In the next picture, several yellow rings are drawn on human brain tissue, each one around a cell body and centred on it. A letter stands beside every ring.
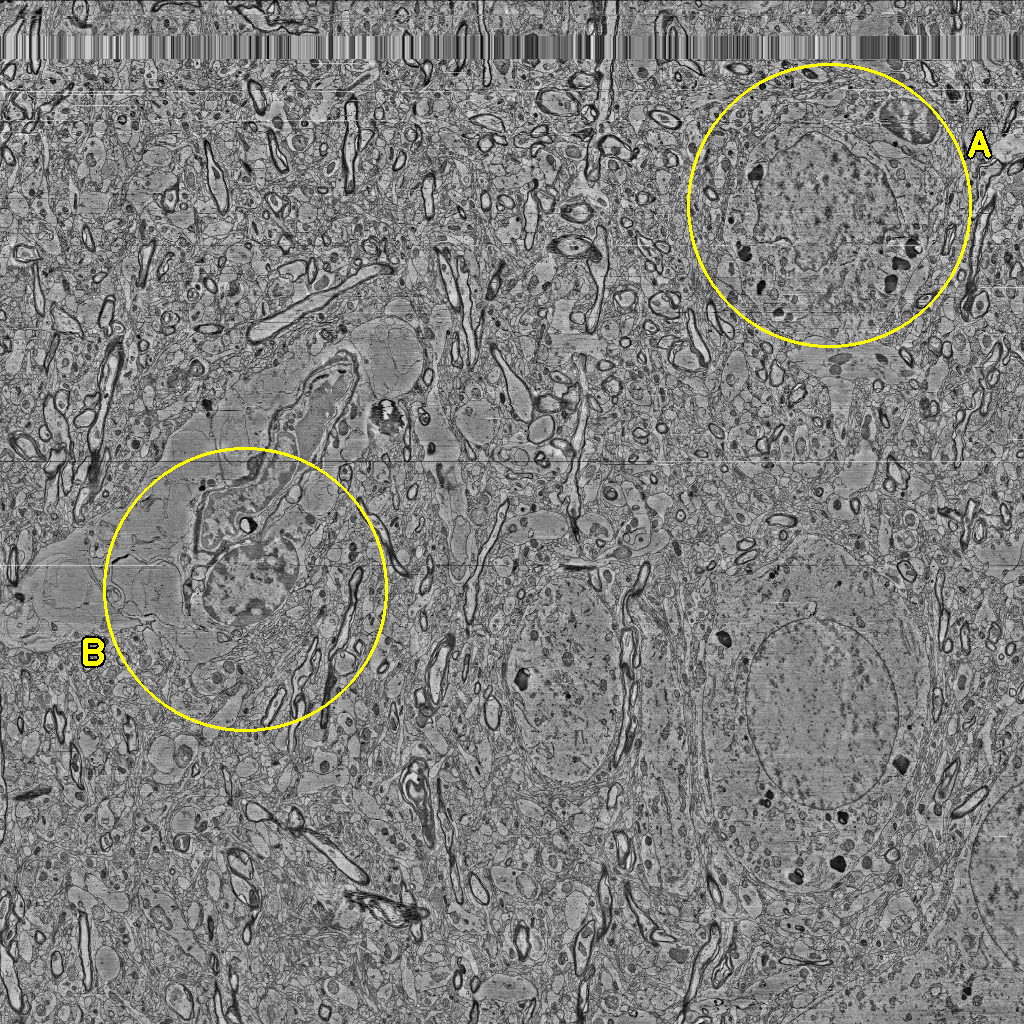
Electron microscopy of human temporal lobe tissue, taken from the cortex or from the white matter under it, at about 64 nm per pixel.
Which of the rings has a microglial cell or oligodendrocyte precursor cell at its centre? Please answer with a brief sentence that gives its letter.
Ring B has it at its centre.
